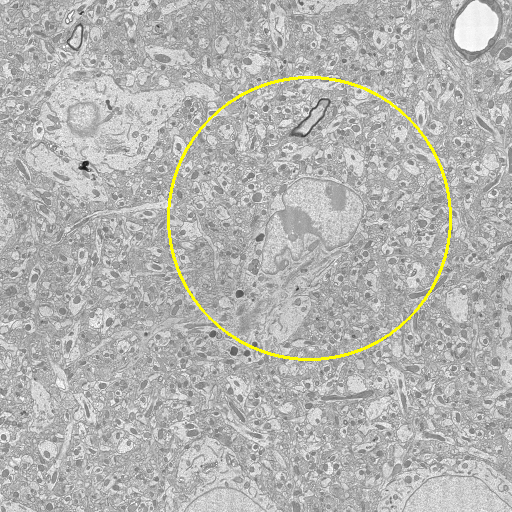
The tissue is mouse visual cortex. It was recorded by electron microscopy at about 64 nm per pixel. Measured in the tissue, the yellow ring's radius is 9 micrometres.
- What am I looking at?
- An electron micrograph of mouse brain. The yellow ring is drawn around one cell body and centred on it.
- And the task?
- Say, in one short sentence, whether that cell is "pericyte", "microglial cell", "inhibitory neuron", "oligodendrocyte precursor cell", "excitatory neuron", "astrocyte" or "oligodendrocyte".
The cell in the middle of the ring is an oligodendrocyte precursor cell.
